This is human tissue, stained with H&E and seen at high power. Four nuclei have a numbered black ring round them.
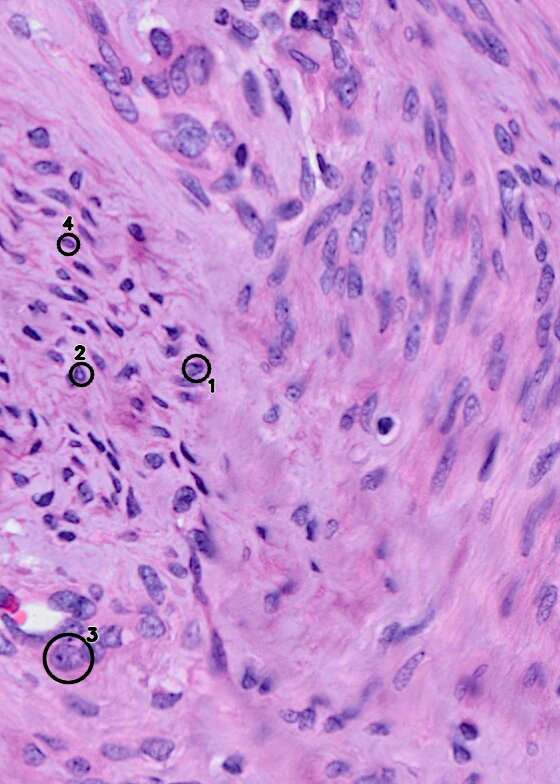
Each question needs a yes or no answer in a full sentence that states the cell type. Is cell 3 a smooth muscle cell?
No, cell 3 is not a smooth muscle cell; an endothelial cell is the correct identification.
